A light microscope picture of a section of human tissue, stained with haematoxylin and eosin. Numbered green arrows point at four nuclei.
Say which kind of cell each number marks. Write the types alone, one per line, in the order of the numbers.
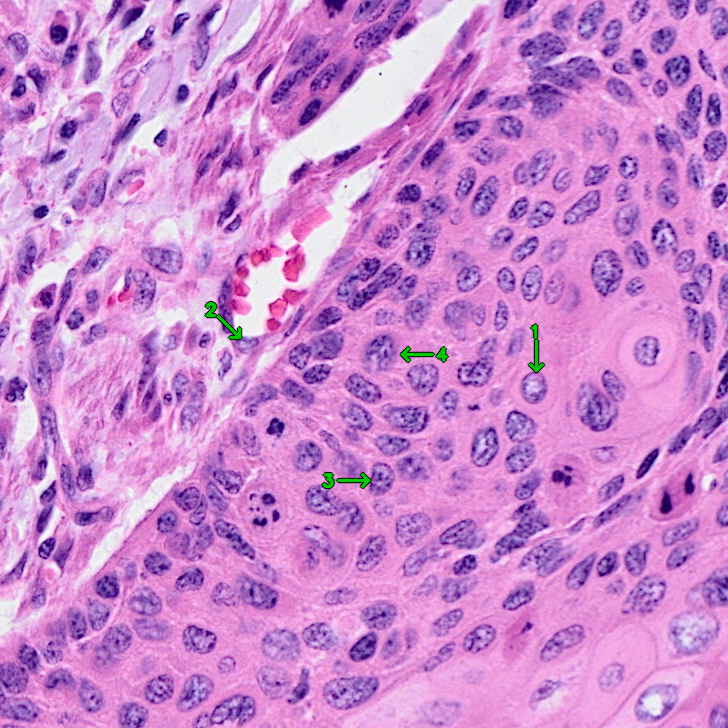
squamous carcinoma cell
endothelial cell
squamous carcinoma cell
squamous carcinoma cell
